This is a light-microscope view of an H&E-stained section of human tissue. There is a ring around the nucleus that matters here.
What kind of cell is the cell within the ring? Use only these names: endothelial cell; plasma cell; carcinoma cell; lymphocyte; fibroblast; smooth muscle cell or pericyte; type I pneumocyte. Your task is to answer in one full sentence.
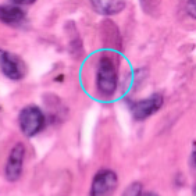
As far as its identity is concerned, the cell within the ring is a plasma cell.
